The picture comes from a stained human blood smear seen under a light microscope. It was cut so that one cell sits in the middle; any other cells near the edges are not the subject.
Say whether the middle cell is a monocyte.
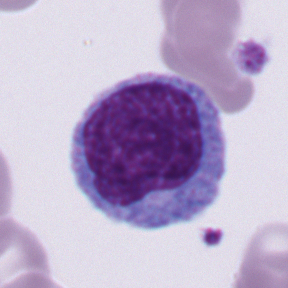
yes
